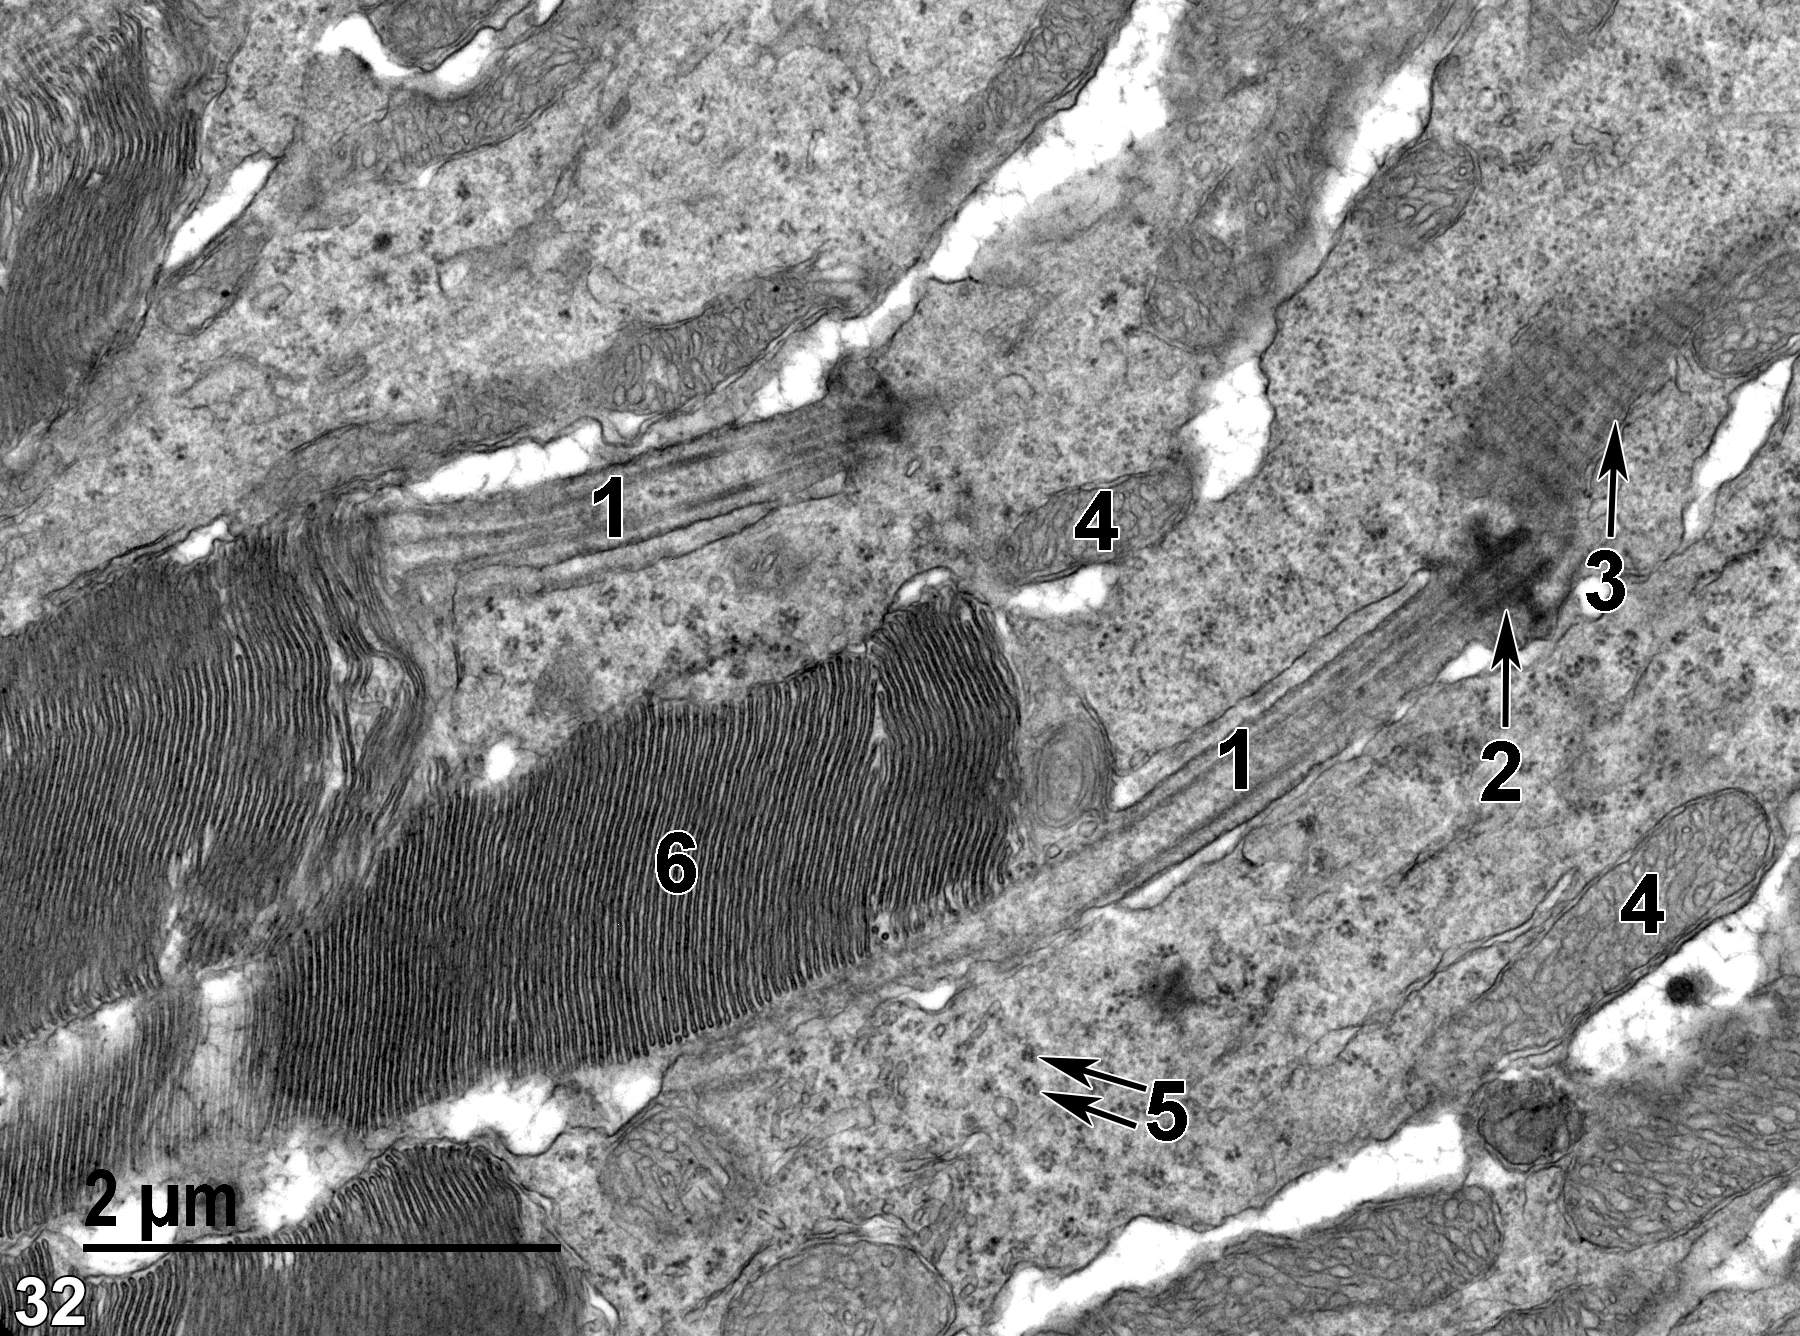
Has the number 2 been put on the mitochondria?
No, 2 marks the basal body.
